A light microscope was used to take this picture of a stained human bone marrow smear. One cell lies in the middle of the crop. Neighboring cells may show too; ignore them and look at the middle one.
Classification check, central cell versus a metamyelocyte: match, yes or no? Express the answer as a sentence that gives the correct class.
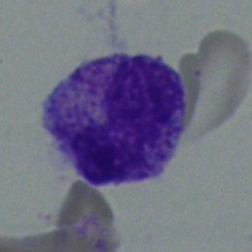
Yes, a metamyelocyte is what the central cell is.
